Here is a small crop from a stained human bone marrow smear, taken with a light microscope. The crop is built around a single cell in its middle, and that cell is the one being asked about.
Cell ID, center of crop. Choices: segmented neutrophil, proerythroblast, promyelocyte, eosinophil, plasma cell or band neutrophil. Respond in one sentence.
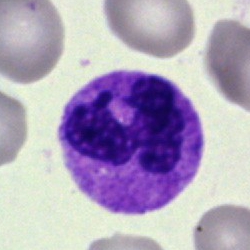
Centred in the crop is a segmented neutrophil.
